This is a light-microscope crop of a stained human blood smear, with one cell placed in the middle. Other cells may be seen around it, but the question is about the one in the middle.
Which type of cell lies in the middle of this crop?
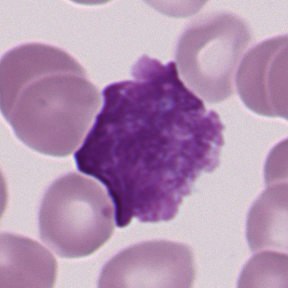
smudge cell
